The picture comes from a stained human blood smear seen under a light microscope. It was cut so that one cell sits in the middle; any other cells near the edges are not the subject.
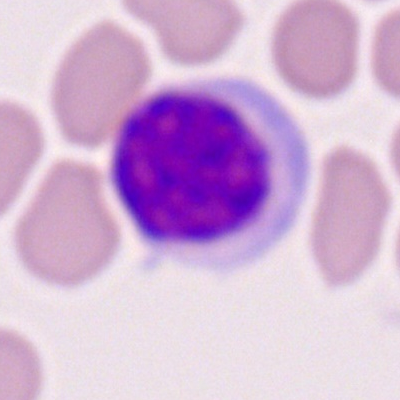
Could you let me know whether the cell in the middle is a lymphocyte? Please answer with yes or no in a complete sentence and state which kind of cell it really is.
Yes, the cell at the middle is a lymphocyte.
